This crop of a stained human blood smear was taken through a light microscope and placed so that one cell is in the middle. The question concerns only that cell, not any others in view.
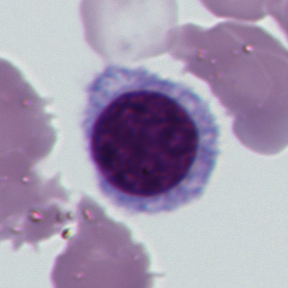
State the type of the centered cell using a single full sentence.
At the center of the crop sits a hairy cell.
